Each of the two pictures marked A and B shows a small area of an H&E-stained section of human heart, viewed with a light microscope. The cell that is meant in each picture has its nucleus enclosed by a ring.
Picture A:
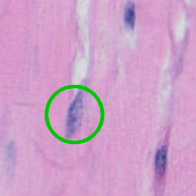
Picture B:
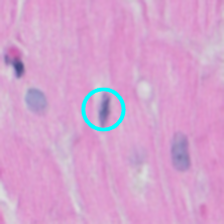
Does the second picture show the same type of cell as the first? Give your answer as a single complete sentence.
No, the types are not the same, since picture A shows a fibroblast and picture B an endothelial cell.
